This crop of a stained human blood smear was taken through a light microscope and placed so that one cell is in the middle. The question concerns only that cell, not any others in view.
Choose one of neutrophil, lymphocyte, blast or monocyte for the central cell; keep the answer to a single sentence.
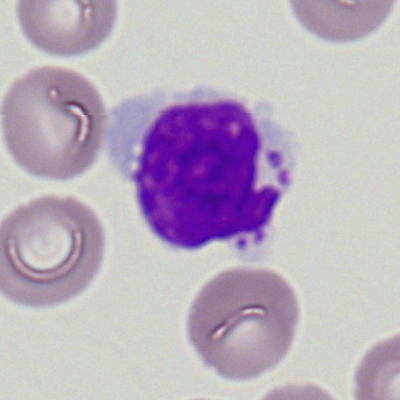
Whatever else lies nearby, the middle cell is a lymphocyte.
